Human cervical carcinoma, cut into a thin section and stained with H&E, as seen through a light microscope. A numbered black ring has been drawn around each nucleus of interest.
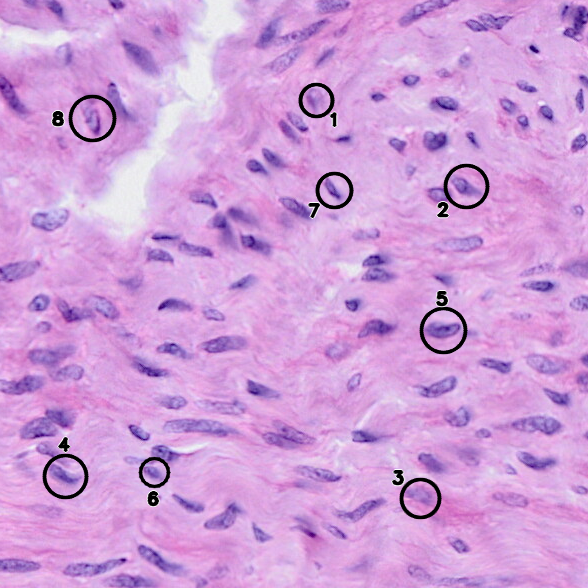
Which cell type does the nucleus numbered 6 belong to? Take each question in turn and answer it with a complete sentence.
The numbered cell 6 is identified here as a fibroblast.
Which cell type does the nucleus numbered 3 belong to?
As for number 3, that cell is a smooth muscle cell.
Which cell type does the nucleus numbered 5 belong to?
Marked with the number 5, this cell is a fibroblast.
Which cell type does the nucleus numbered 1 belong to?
The cell marked with the number 1 is a smooth muscle cell.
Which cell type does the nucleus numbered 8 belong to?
Numbered cell 8 is a smooth muscle cell in this tissue section.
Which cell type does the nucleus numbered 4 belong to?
Classified as a fibroblast is the cell with the number 4.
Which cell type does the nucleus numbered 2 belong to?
The cell numbered 2 has been identified as a smooth muscle cell.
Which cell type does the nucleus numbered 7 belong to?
The cell indicated by marker 7 is a fibroblast in this section.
